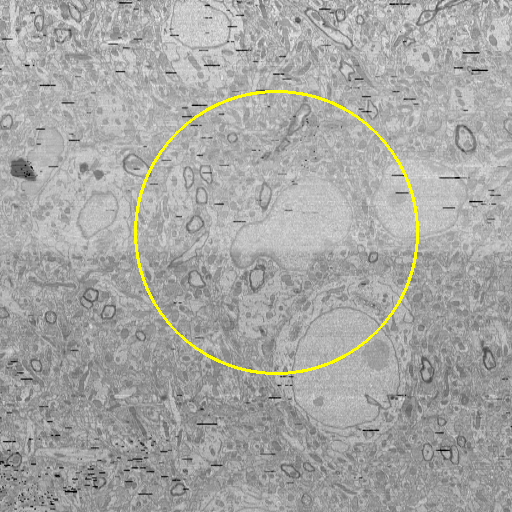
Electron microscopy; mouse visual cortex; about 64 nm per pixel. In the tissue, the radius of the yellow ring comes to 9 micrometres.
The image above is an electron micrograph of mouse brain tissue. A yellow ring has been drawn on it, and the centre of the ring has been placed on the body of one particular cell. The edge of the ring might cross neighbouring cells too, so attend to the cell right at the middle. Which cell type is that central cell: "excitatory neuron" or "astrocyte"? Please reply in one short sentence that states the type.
The central cell in the ring is an astrocyte.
